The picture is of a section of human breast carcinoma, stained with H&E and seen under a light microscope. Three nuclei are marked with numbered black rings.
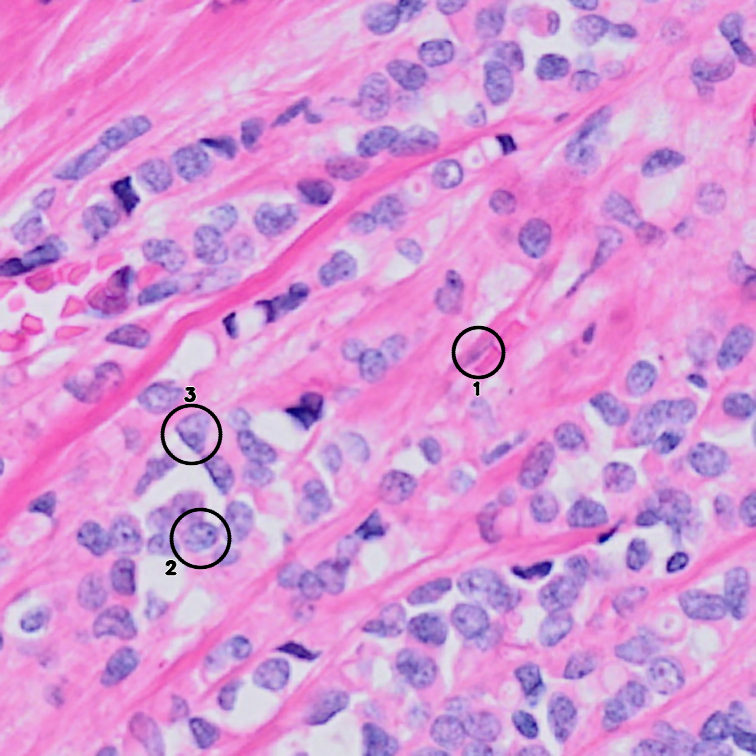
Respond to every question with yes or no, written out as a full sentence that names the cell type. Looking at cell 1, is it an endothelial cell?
Yes, that one, number 1, is an endothelial cell.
